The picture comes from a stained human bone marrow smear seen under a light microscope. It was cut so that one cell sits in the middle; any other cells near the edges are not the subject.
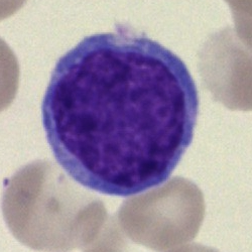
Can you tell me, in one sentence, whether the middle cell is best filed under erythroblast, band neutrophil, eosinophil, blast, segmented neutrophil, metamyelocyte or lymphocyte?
The middle position in this crop is taken by a blast.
